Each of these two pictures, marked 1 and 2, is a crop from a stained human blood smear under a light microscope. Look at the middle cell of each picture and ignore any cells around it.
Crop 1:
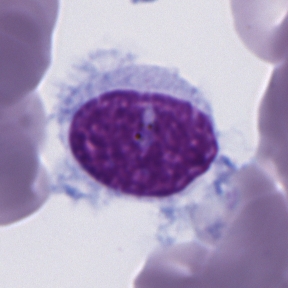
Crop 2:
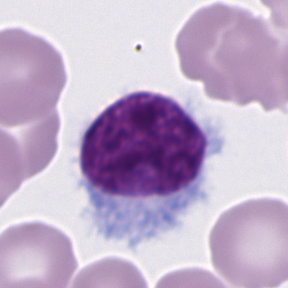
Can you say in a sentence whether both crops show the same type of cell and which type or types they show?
Yes, that holds, both crops show hairy cells.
